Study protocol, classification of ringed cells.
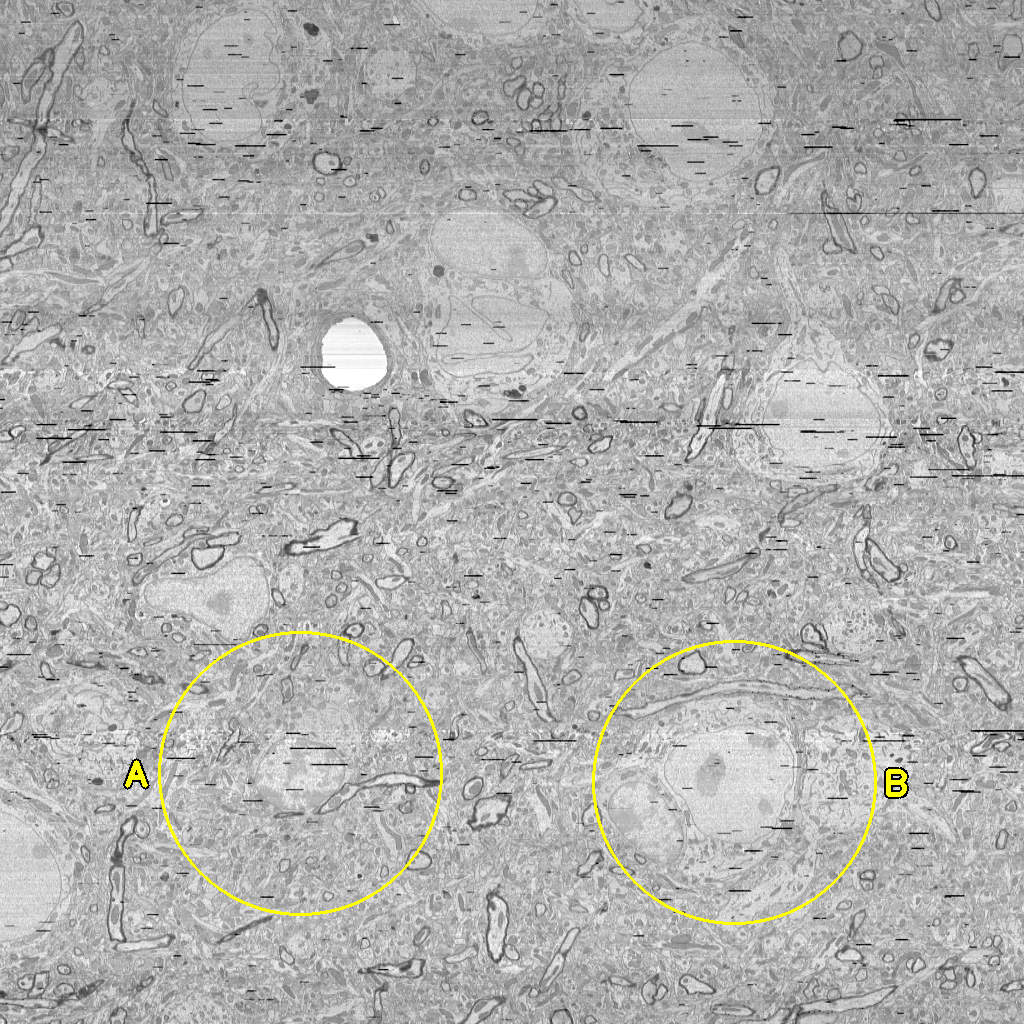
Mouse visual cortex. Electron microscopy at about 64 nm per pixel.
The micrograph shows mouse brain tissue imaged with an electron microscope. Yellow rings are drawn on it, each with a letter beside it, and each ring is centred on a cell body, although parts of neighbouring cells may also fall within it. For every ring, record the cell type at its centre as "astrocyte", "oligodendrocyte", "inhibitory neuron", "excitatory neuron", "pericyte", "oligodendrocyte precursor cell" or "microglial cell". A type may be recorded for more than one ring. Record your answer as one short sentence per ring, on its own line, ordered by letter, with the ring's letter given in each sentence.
Ring A has been centred on an oligodendrocyte.
Ring B has been centred on an excitatory neuron.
